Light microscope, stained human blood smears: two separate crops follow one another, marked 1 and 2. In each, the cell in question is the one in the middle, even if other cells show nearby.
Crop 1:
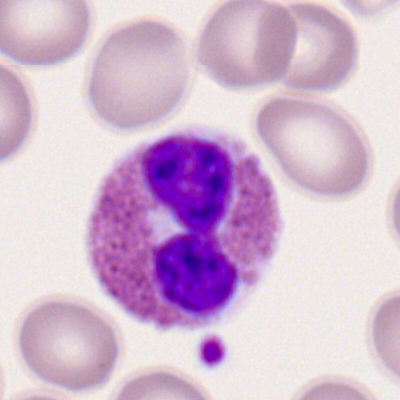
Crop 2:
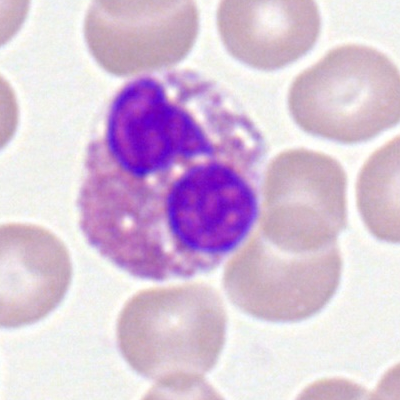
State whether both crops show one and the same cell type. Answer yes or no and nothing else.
yes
